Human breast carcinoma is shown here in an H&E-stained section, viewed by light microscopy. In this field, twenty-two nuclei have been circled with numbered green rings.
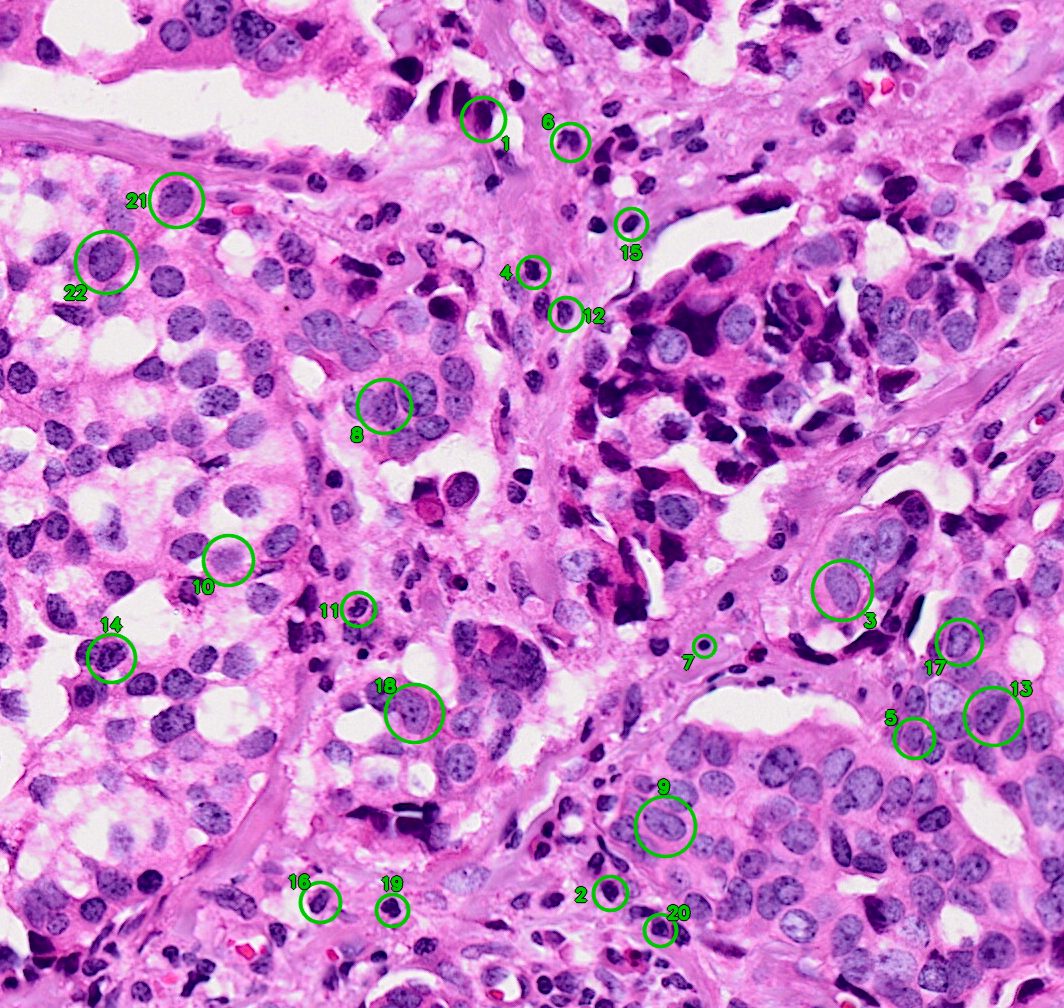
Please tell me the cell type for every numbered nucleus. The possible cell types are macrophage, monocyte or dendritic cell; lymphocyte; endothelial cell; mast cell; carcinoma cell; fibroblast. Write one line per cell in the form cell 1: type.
cell 1: carcinoma cell
cell 2: lymphocyte
cell 3: carcinoma cell
cell 4: lymphocyte
cell 5: carcinoma cell
cell 6: lymphocyte
cell 7: lymphocyte
cell 8: carcinoma cell
cell 9: carcinoma cell
cell 10: carcinoma cell
cell 11: lymphocyte
cell 12: lymphocyte
cell 13: carcinoma cell
cell 14: carcinoma cell
cell 15: lymphocyte
cell 16: mast cell
cell 17: carcinoma cell
cell 18: carcinoma cell
cell 19: lymphocyte
cell 20: lymphocyte
cell 21: carcinoma cell
cell 22: carcinoma cell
